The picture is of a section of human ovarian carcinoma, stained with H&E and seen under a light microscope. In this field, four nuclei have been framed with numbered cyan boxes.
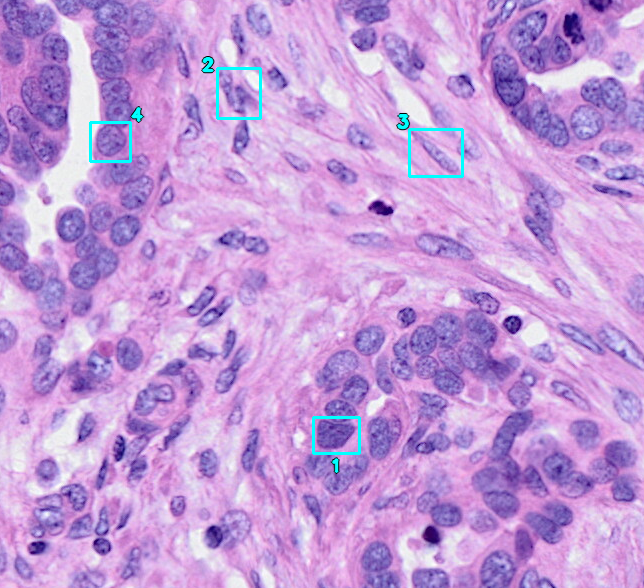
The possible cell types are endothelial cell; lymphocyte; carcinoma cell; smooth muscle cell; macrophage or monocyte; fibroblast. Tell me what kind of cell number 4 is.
carcinoma cell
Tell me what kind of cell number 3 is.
fibroblast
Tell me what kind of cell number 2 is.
fibroblast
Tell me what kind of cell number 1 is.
carcinoma cell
